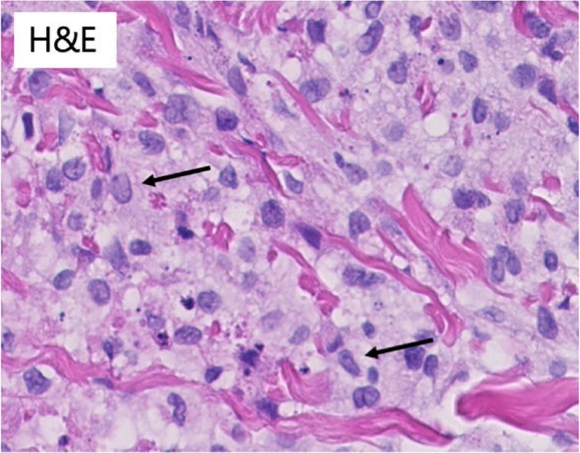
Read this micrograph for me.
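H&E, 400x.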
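Sheet of large lesional cells with abundant pale pink cytoplasm, lying between bright pink wavy collagen bundles. The cytoplasm is pale, finely vacuolated and foamy, with indistinct cell borders. Nuclei are oval to reniform, with fine pale chromatin and small nucleoli; some show a lengthwise groove or fold. Cells are loosely arranged, not cohesive. A few small dark fragments of debris lie among them.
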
